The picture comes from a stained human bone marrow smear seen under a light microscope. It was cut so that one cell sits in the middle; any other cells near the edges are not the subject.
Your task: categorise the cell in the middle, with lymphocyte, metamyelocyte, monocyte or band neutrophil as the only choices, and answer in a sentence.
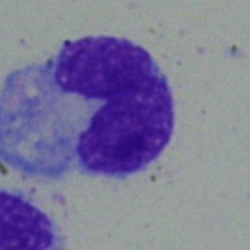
Centrally within this crop lies a metamyelocyte.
